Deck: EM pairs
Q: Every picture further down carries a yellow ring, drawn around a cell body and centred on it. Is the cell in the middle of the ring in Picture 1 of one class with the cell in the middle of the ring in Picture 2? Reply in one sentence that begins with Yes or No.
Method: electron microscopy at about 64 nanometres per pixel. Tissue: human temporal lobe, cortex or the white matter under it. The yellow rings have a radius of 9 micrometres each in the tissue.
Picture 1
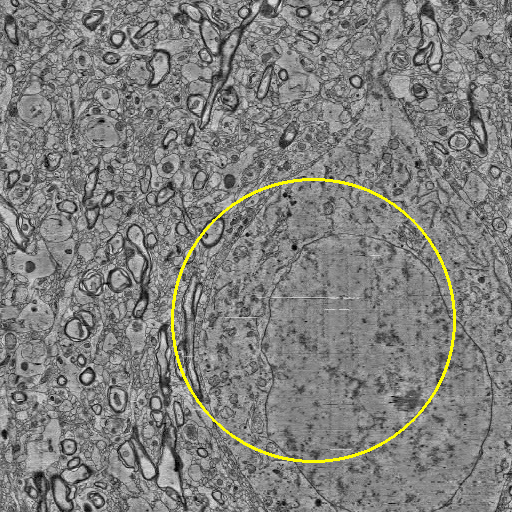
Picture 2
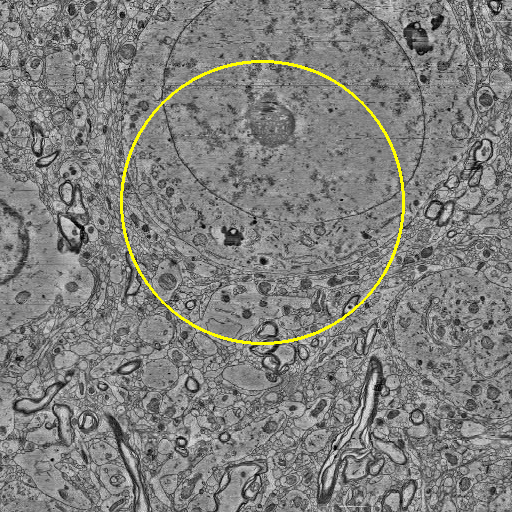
Yes, the cell centred in the ring of Picture 1 and the one in Picture 2 belong to one class.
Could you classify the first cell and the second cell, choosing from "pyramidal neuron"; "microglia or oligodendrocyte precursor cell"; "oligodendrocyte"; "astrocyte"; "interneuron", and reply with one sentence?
Each cell at the centre of a ring is a pyramidal neuron.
